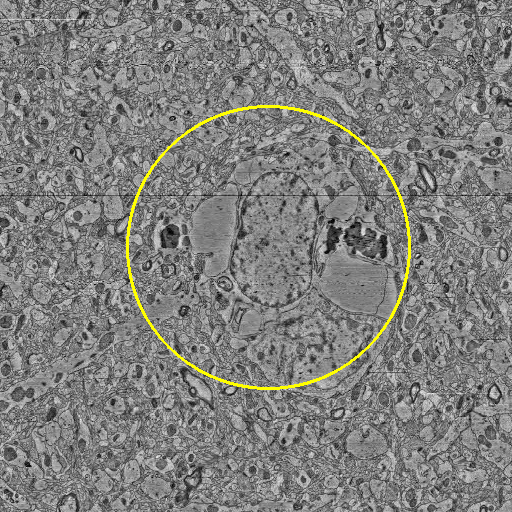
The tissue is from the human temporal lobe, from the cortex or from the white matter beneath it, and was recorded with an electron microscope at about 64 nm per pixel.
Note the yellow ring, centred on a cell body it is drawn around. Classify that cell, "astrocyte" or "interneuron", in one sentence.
The cell the ring is centred on is an astrocyte.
